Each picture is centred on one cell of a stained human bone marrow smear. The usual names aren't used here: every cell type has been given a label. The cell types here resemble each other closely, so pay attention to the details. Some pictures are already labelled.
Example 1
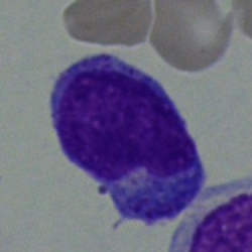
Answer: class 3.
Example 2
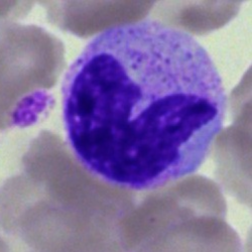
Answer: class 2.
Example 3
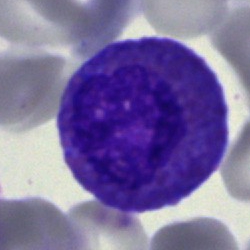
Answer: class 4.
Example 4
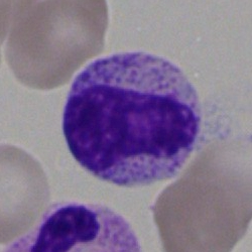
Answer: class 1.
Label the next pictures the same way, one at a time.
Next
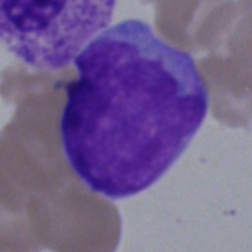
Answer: class 3.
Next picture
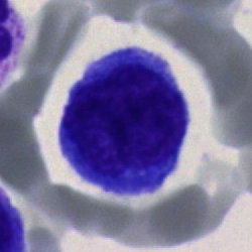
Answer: class 3.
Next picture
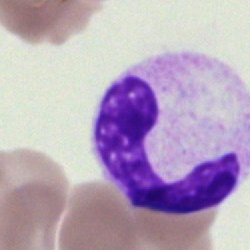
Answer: class 2.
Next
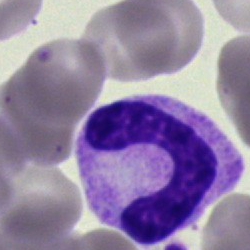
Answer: class 2.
